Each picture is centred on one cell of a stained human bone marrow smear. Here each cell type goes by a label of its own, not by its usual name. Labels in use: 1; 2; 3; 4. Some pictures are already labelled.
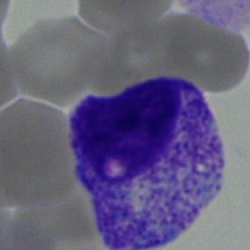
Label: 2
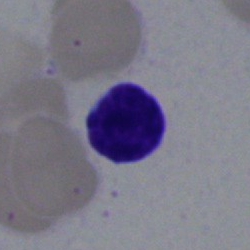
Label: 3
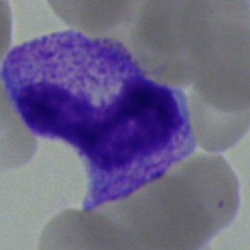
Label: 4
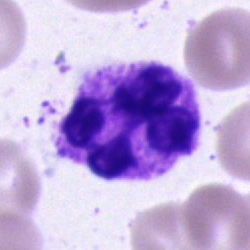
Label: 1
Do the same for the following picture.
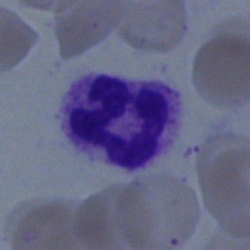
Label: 1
